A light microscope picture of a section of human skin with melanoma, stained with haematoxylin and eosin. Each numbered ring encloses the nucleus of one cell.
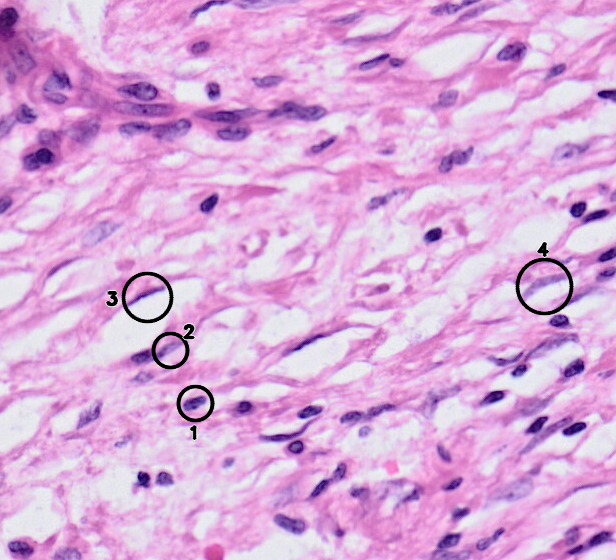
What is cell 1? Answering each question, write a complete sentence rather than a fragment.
Cell 1 of the marked set is a lymphocyte.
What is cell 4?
The cell pointed out by number 4 is a fibroblast or myofibroblast.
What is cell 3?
The cell numbered 3 has been identified as a fibroblast or myofibroblast.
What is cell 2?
Here, the cell given the number 2 is a fibroblast or myofibroblast.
